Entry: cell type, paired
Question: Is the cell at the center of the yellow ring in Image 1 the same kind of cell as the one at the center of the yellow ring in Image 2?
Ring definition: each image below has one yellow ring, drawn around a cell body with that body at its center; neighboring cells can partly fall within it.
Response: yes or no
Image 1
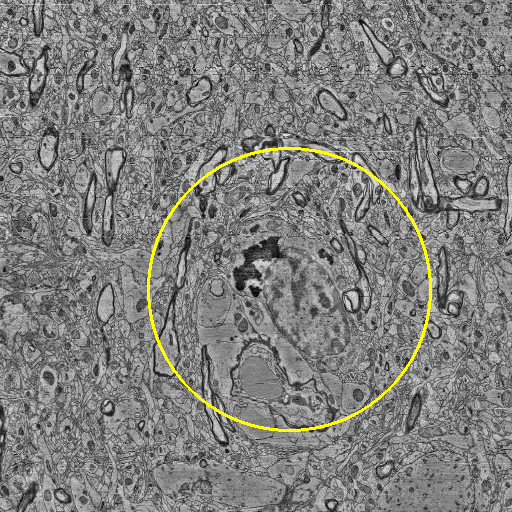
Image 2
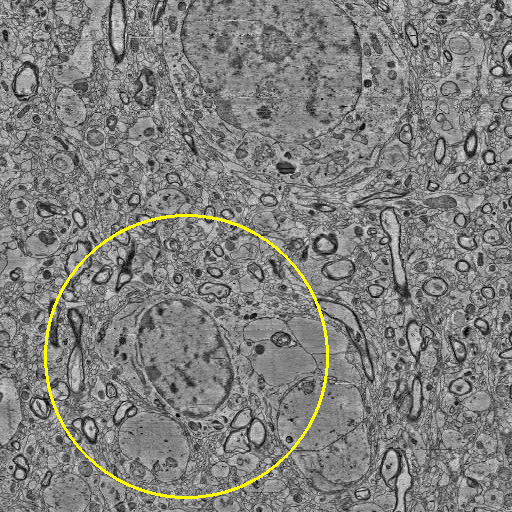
no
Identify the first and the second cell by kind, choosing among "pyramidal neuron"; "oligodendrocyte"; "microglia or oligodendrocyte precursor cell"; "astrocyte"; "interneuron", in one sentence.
The one in the first picture is an oligodendrocyte, while the one in the second is a microglial cell or oligodendrocyte precursor cell.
